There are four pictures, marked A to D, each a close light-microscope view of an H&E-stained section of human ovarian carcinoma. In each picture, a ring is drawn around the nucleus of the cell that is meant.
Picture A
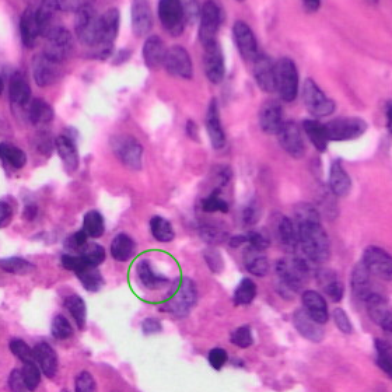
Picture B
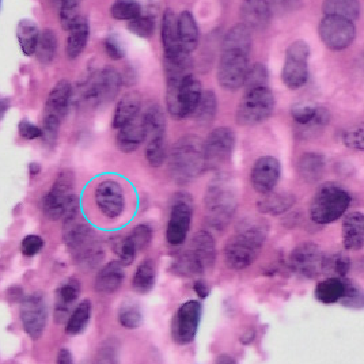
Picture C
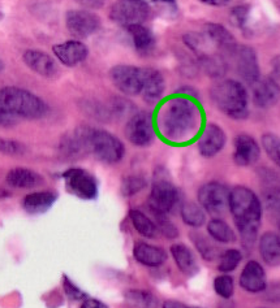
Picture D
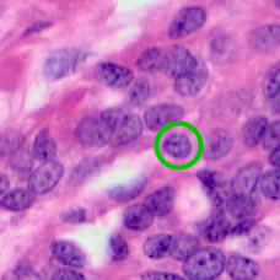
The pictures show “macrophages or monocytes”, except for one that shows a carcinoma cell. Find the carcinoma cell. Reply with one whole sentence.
The cell in picture C is the carcinoma cell.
